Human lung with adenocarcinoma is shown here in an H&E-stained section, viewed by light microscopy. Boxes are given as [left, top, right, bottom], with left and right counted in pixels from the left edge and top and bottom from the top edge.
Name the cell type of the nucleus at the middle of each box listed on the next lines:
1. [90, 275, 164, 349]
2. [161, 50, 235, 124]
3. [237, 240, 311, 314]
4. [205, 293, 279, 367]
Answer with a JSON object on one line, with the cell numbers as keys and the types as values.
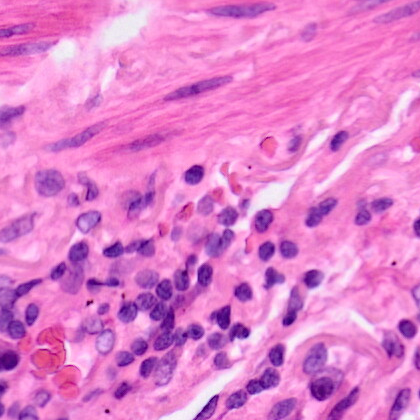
{"1": "lymphocyte", "2": "smooth muscle cell or pericyte", "3": "lymphocyte", "4": "lymphocyte"}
